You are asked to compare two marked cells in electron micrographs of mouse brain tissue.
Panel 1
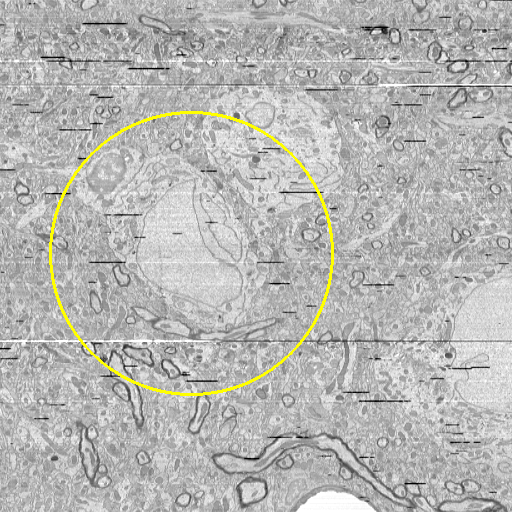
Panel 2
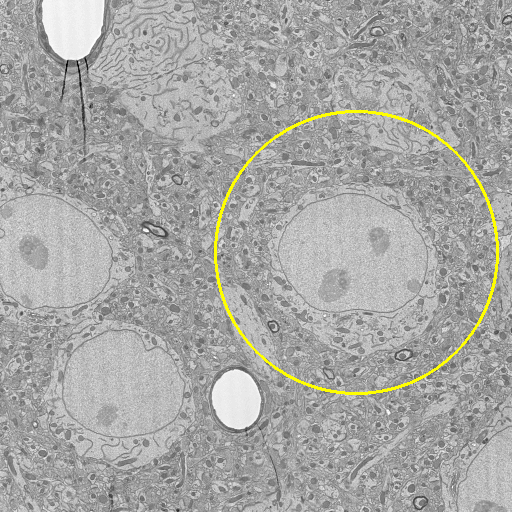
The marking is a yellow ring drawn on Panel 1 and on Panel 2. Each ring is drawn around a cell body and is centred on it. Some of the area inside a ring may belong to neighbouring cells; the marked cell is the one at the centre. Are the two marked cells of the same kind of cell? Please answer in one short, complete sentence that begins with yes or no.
No, the two marked cells are of two kinds.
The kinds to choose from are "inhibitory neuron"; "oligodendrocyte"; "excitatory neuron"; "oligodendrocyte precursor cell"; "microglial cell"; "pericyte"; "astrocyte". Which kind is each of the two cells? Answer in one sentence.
Of the two, the first cell is an inhibitory neuron and the second cell is an excitatory neuron.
